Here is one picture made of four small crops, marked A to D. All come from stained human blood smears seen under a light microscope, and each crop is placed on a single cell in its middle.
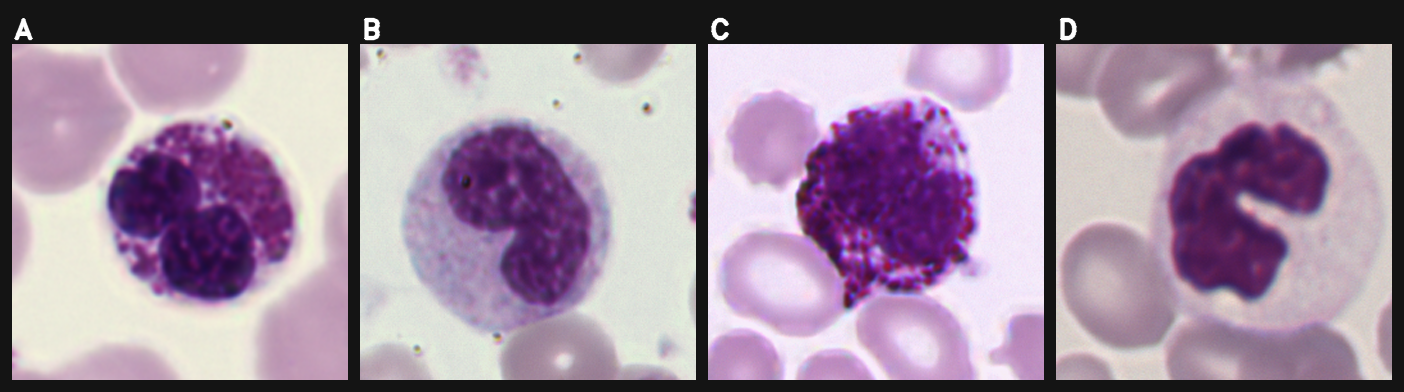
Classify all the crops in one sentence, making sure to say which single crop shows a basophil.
Crop C is classified as a basophil, whereas crop A is an eosinophil, crop B is a band neutrophil and crop D is a segmented neutrophil.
